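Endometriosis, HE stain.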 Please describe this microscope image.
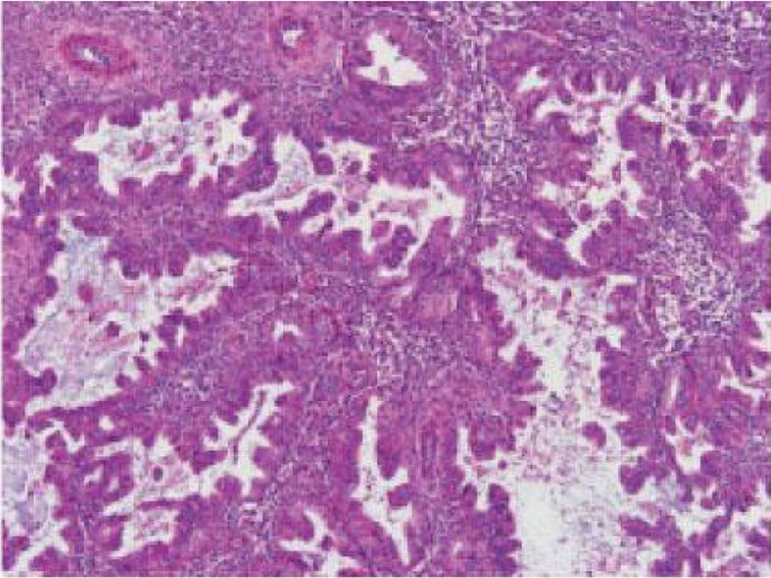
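Endometrial-type glands crowd closely in a cellular stroma, with very irregular, jagged and branching lumens. The glands are lined by closely packed epithelial cells with dark purple nuclei, and some linings form small infoldings into the lumens. The lumens are pale and hold wispy, faintly bluish or pink material. Between the glands lie narrow bands of stroma made of small cells with dark nuclei. Near the top edge, a few small vessels with pink walls sit in the stroma.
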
